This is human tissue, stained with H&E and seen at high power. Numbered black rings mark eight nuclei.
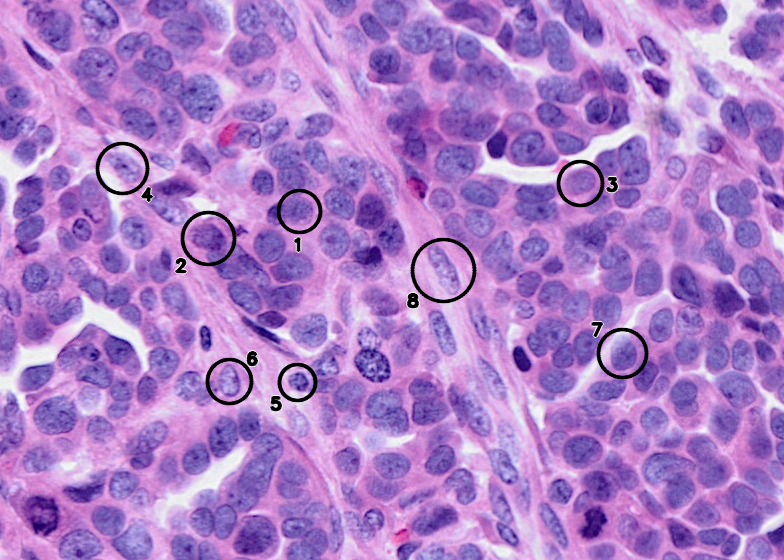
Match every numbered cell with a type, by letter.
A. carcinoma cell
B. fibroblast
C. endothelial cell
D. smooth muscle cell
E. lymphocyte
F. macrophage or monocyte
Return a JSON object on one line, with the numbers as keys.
{"1": "A", "2": "A", "3": "A", "4": "B", "5": "E", "6": "B", "7": "A", "8": "B"}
